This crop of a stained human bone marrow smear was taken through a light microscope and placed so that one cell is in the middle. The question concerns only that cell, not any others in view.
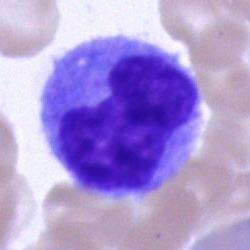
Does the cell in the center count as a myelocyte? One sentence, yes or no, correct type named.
No, the central cell here is a monocyte; calling it a myelocyte is not right.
